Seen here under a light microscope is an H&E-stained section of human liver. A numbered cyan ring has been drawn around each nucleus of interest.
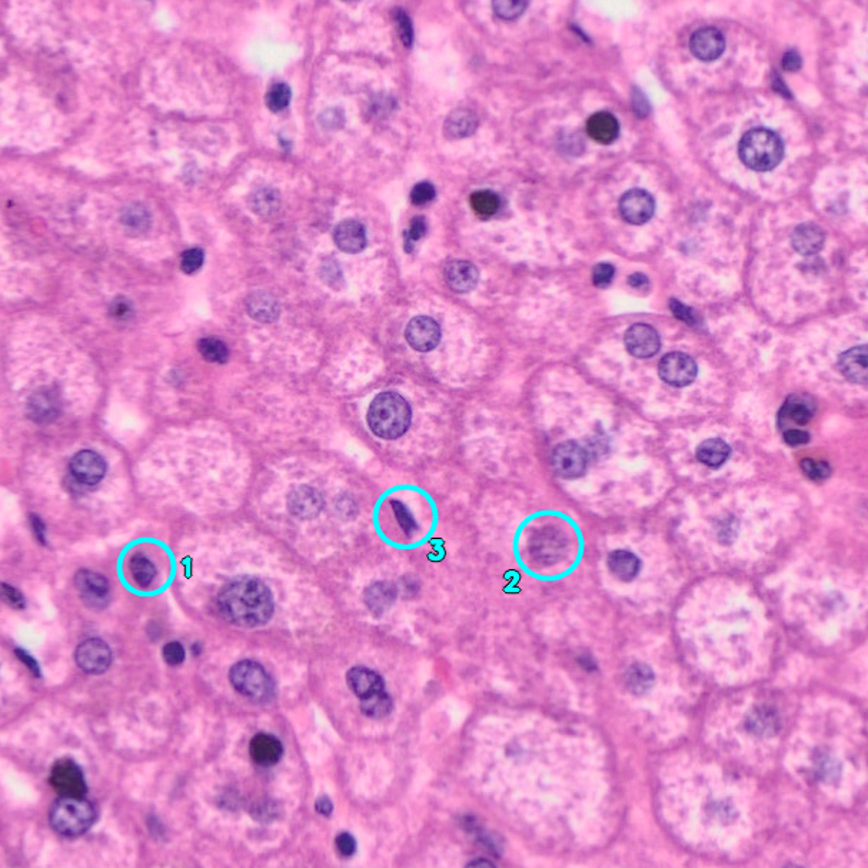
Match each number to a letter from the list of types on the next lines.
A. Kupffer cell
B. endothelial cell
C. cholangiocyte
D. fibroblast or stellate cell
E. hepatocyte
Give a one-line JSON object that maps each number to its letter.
{"1": "A", "2": "E", "3": "B"}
